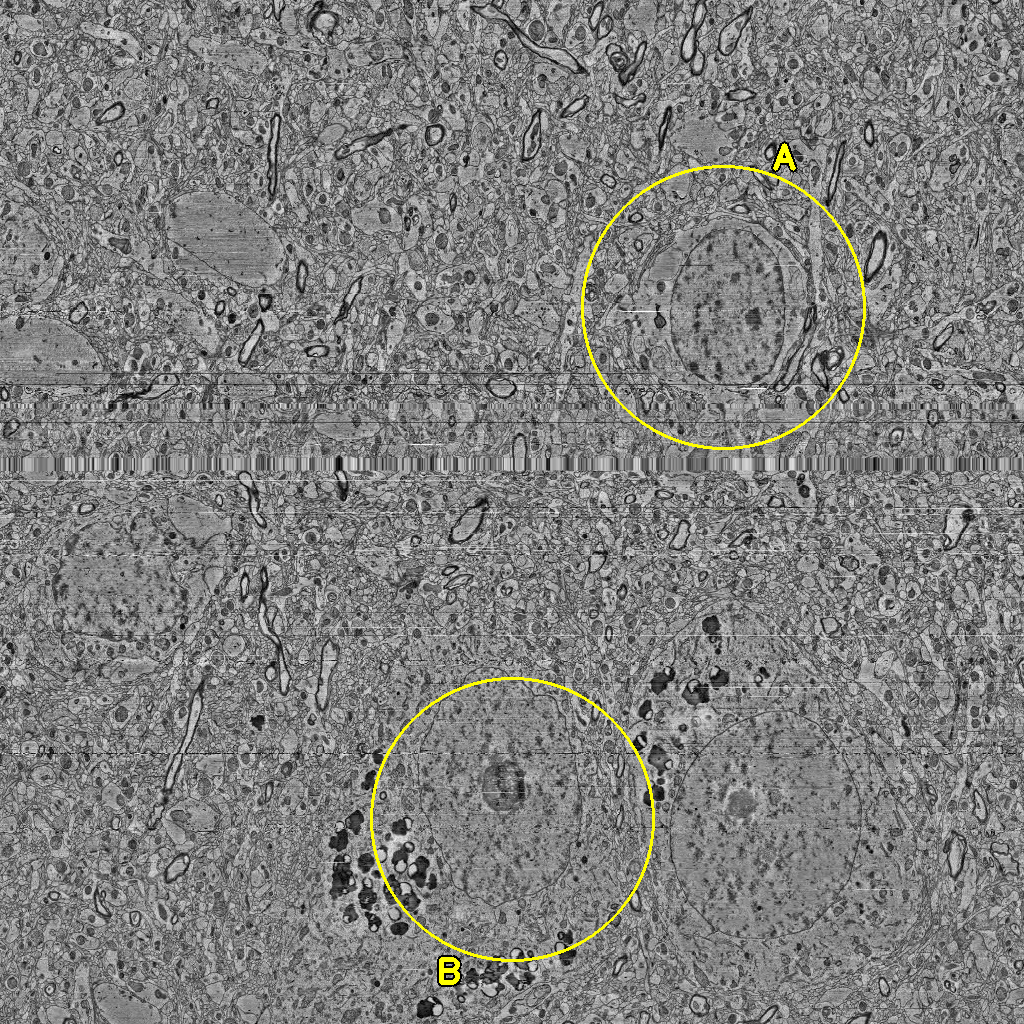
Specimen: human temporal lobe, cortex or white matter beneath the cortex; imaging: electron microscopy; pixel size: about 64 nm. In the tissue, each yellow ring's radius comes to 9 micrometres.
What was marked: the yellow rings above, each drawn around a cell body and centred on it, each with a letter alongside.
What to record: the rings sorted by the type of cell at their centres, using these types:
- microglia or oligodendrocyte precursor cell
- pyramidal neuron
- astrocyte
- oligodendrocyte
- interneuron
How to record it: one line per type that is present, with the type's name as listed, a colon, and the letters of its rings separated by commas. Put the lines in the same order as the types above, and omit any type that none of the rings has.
pyramidal neuron: B
astrocyte: A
